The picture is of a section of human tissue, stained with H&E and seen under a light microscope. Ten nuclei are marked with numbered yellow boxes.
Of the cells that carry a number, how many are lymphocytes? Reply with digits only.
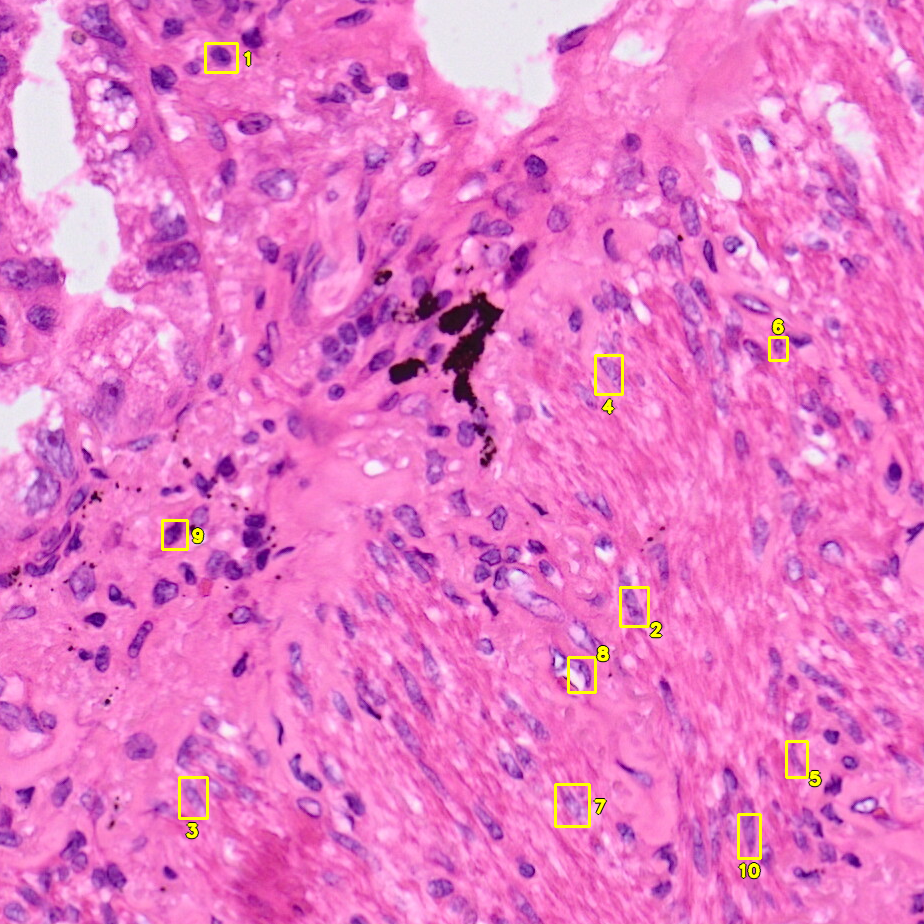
1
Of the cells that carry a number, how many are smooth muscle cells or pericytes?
6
